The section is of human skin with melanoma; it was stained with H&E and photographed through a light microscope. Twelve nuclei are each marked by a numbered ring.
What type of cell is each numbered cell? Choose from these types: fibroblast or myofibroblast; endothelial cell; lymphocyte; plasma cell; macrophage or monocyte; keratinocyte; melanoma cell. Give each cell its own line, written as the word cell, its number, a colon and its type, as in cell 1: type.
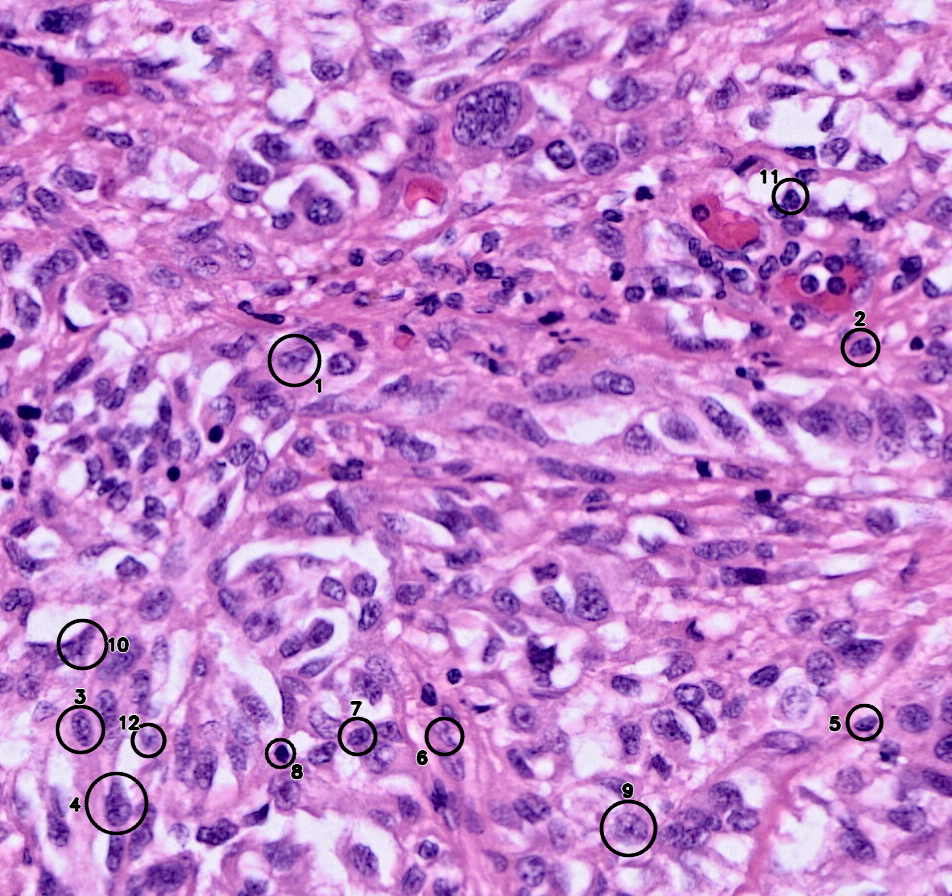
cell 1: melanoma cell
cell 2: lymphocyte
cell 3: melanoma cell
cell 4: melanoma cell
cell 5: lymphocyte
cell 6: endothelial cell
cell 7: melanoma cell
cell 8: lymphocyte
cell 9: melanoma cell
cell 10: melanoma cell
cell 11: lymphocyte
cell 12: melanoma cell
